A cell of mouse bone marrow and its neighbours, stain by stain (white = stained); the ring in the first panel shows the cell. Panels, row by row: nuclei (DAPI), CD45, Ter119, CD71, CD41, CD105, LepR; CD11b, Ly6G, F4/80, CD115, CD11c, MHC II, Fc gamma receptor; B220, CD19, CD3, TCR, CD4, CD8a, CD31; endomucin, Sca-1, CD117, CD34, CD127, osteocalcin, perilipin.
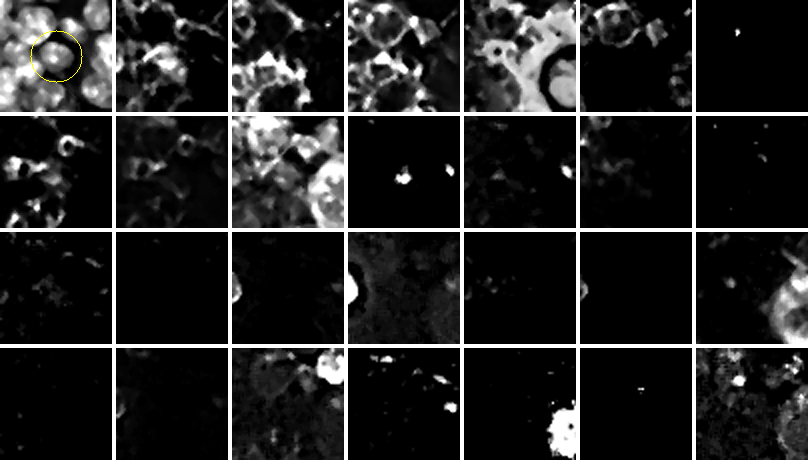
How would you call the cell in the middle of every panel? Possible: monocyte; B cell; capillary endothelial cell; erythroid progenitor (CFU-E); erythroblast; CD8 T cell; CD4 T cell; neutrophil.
I would call it a monocyte.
